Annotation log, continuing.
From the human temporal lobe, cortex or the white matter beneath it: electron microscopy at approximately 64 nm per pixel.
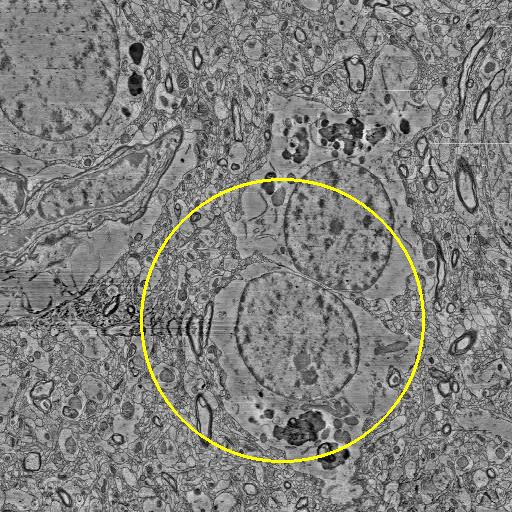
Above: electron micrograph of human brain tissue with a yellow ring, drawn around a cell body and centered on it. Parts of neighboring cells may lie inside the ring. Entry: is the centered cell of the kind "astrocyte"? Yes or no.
Yes, the centered cell is of that kind.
